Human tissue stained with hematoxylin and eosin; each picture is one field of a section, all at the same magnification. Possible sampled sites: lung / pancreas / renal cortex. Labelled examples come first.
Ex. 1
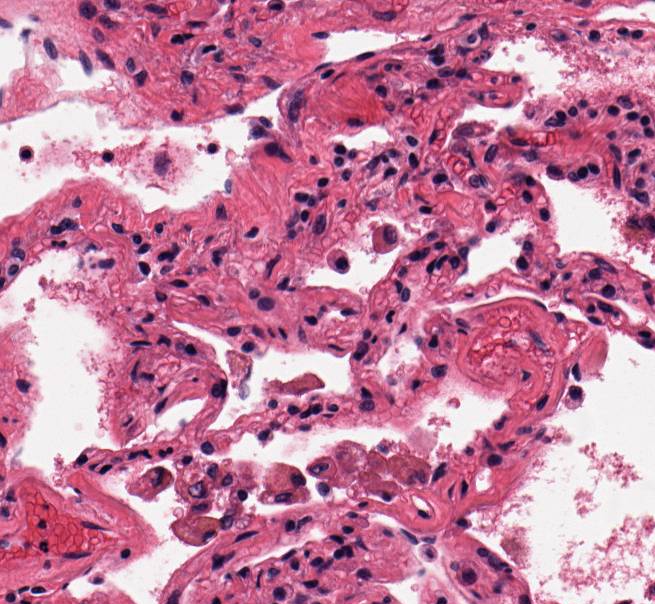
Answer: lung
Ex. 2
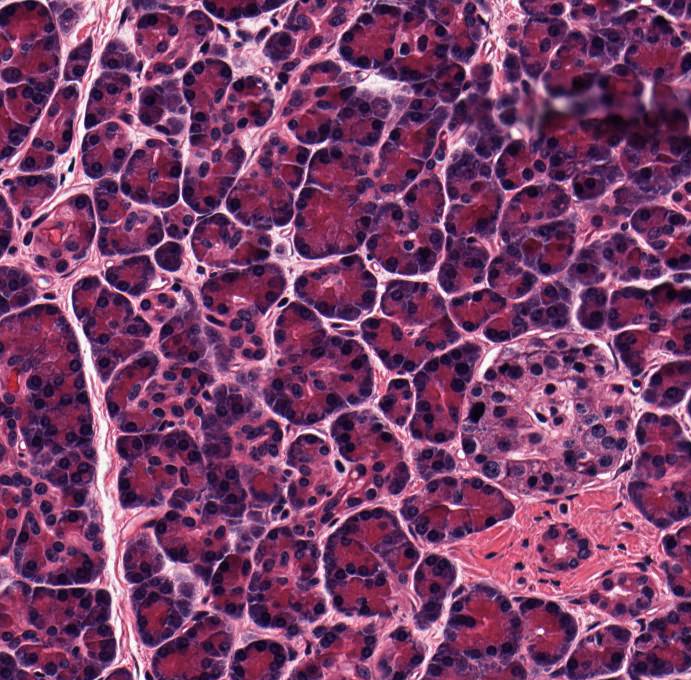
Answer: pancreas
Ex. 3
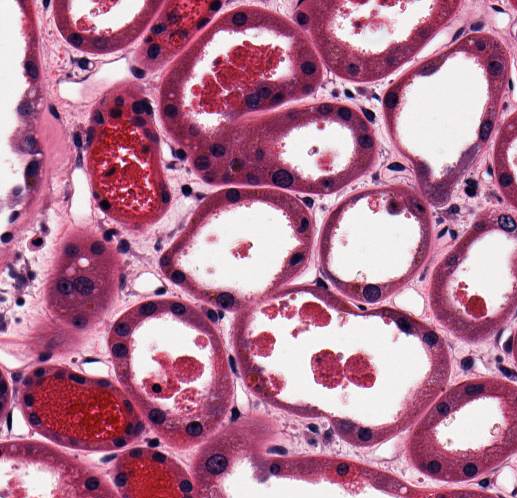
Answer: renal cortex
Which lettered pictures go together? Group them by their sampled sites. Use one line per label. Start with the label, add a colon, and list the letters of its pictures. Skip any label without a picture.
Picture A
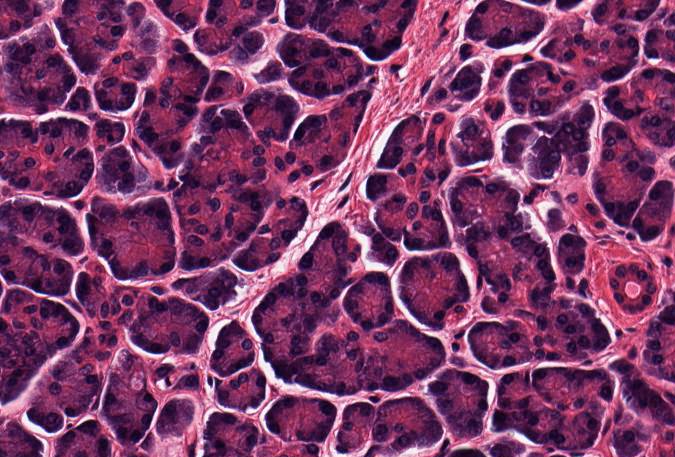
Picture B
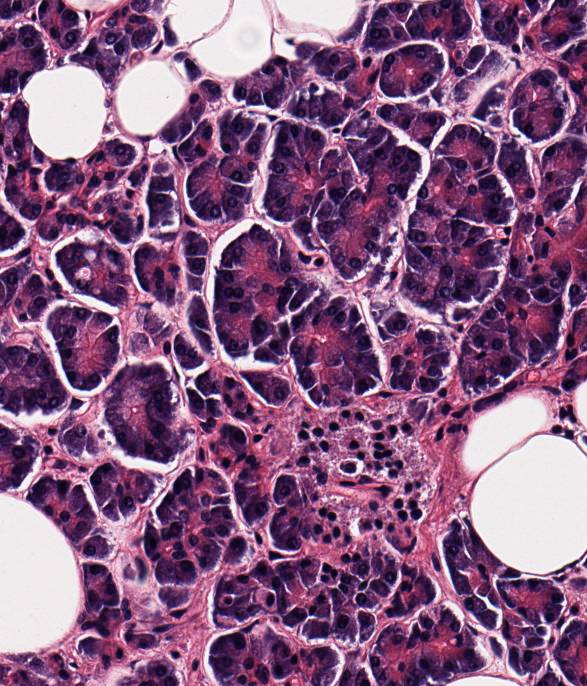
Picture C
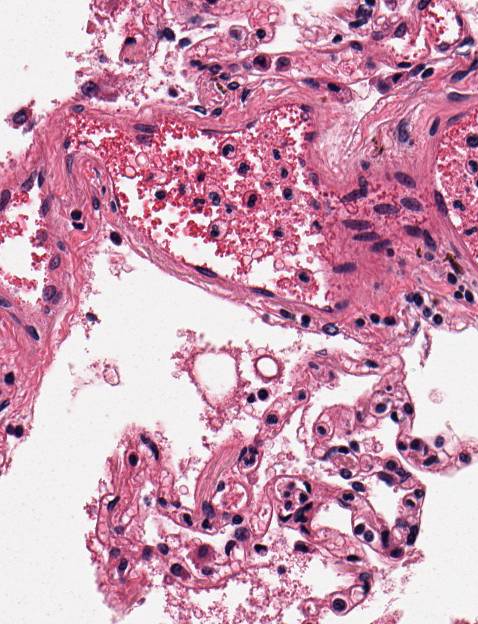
lung: C
pancreas: A, B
